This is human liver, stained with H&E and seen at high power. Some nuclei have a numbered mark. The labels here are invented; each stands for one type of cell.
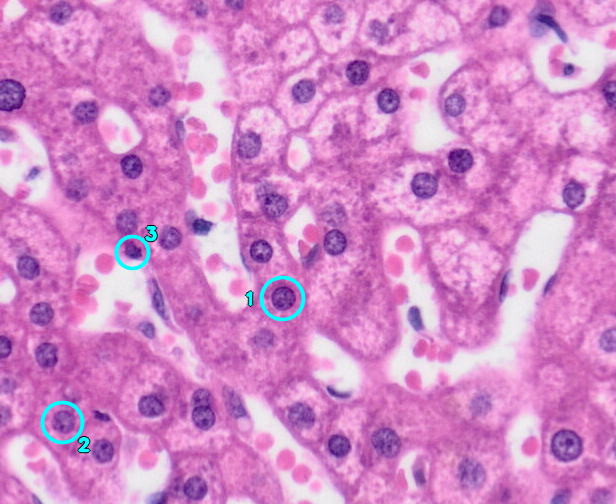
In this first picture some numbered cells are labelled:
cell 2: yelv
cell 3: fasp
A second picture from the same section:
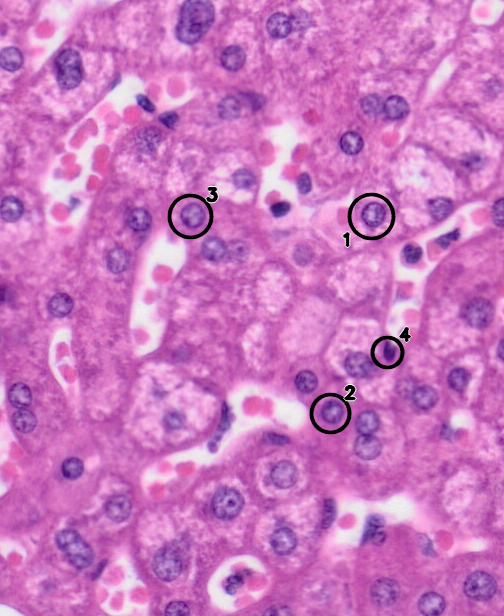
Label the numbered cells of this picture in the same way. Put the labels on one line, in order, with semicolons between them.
yelv; yelv; yelv; fasp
